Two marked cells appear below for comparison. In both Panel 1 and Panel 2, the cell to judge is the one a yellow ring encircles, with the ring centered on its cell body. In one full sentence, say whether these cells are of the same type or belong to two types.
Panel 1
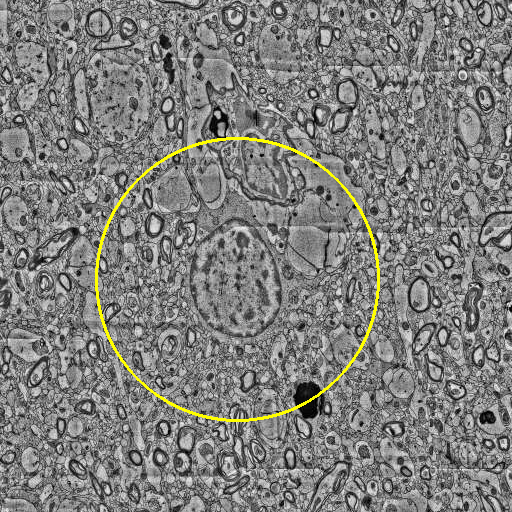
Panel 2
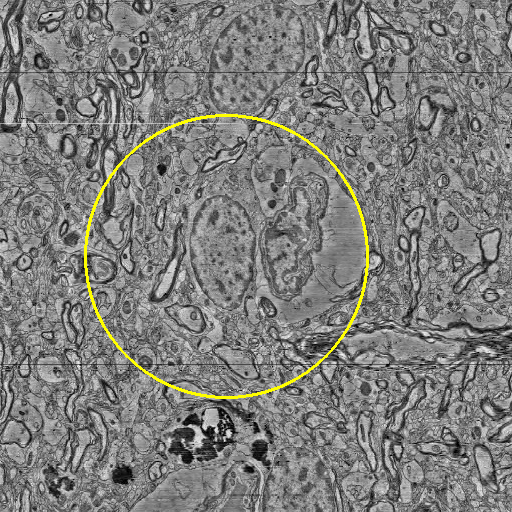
The cell centered in the Panel 1 ring and the one in Panel 2 are of the same type.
